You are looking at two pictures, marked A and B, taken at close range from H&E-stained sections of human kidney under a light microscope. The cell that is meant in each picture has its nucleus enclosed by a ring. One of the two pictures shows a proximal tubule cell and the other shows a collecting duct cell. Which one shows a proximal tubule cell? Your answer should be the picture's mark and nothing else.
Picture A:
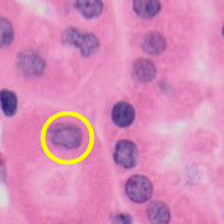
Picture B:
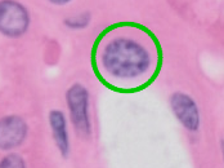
A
